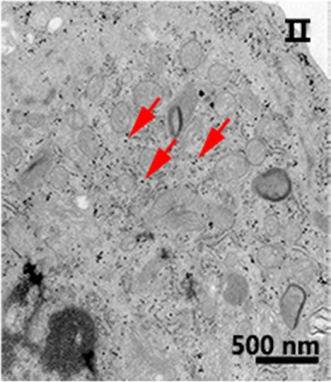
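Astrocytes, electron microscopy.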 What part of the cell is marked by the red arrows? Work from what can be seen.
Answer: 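The arrows point to small, round, very electron-dense black dots in the cytoplasm. Many such dots are scattered among the mitochondria.
Glycogen granules.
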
